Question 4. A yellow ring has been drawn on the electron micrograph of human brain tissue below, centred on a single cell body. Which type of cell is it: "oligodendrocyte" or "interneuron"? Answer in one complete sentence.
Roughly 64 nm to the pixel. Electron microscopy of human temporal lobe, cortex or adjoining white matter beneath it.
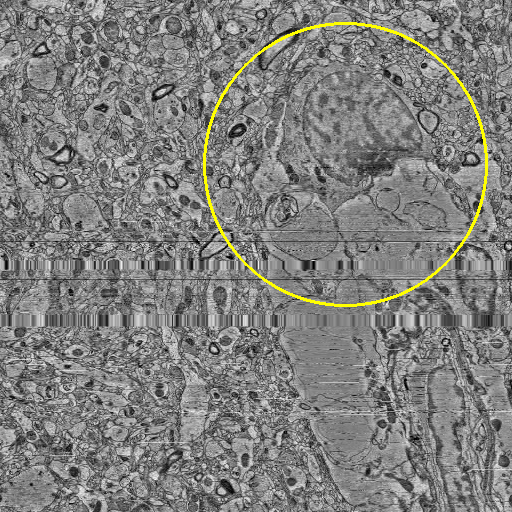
This cell body belongs to an oligodendrocyte.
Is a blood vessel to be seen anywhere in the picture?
Yes, a blood vessel can be seen.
